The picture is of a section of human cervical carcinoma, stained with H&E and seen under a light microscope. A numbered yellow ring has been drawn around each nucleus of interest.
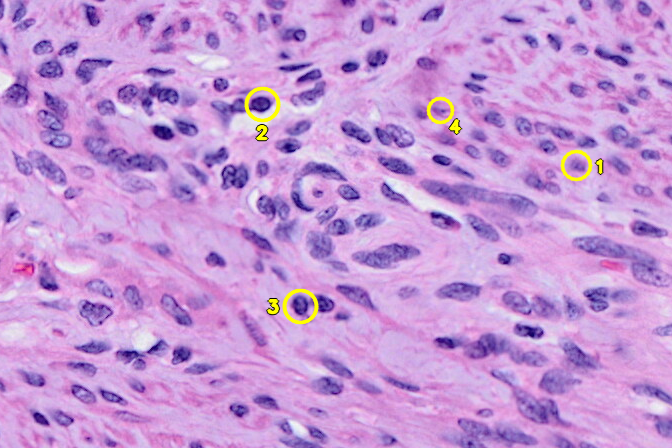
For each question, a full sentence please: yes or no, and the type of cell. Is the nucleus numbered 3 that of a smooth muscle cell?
No, cell 3 is to be classed as a lymphocyte, not a smooth muscle cell.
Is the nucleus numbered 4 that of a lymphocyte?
No, the correct answer for cell 4 is a smooth muscle cell, not a lymphocyte.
